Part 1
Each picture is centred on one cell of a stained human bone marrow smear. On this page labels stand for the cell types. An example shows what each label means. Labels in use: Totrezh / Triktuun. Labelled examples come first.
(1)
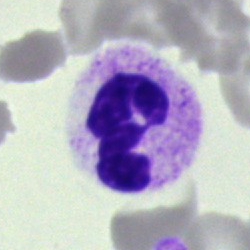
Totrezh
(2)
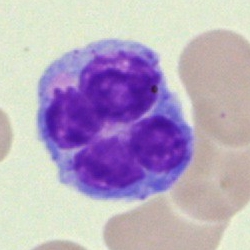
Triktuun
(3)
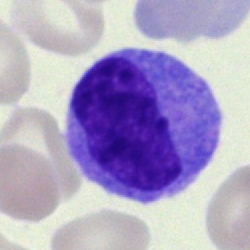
Triktuun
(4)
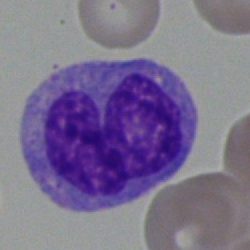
Triktuun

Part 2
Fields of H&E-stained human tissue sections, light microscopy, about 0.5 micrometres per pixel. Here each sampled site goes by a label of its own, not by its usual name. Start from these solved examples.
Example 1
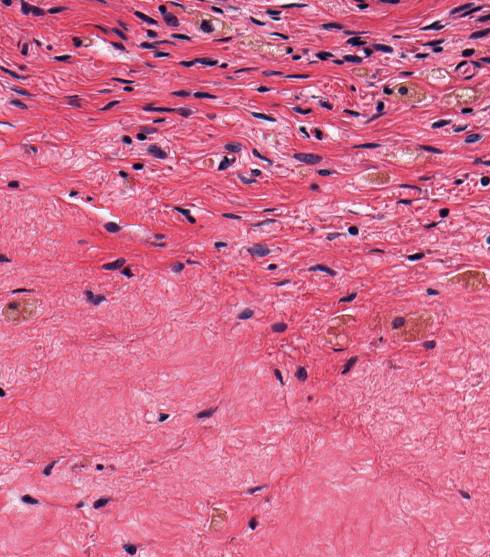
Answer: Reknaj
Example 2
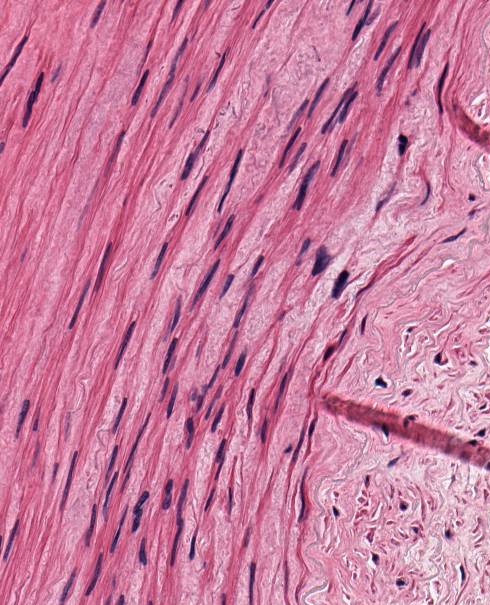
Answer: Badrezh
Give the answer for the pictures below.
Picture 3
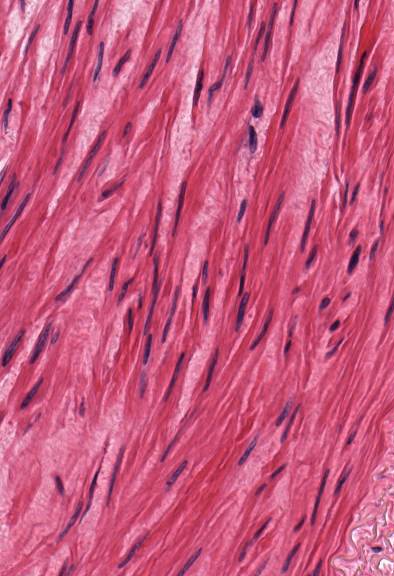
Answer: Badrezh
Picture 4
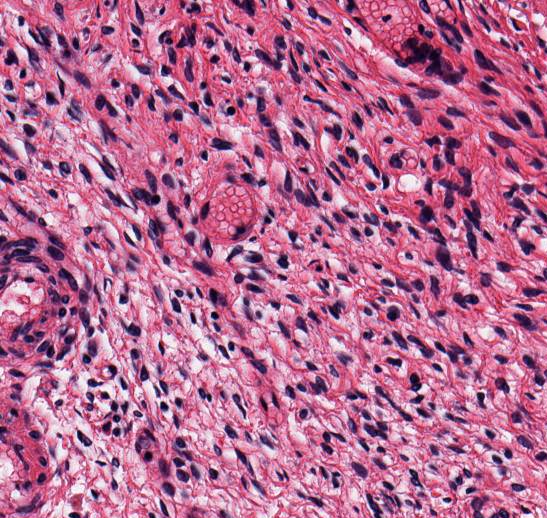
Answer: Reknaj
